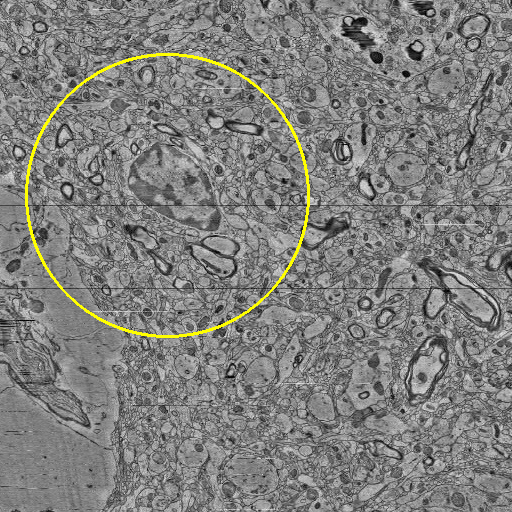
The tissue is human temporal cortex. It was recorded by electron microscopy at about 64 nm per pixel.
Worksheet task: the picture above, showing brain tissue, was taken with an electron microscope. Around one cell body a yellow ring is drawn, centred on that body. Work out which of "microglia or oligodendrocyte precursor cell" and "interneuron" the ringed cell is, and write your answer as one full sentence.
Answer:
It is a microglial cell or oligodendrocyte precursor cell whose cell body lies at the centre of the yellow ring.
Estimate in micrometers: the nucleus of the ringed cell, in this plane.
Roughly 7 micrometres by 4 micrometres, in this plane.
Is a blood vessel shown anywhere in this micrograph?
Yes, one is visible.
